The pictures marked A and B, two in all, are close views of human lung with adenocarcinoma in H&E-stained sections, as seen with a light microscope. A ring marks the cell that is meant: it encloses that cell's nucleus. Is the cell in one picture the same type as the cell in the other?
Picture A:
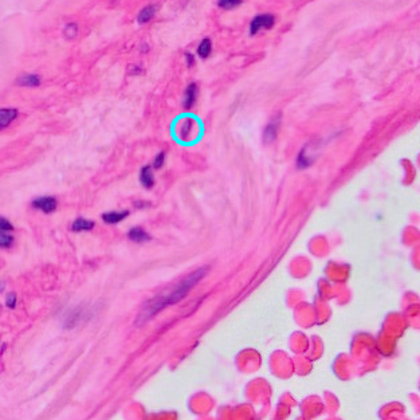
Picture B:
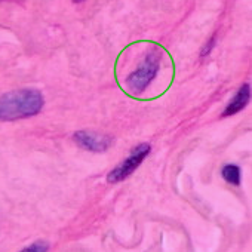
yes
